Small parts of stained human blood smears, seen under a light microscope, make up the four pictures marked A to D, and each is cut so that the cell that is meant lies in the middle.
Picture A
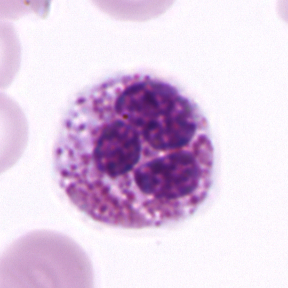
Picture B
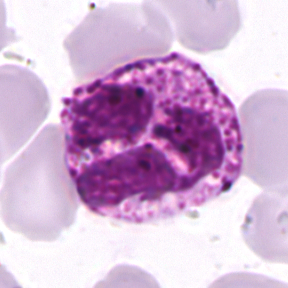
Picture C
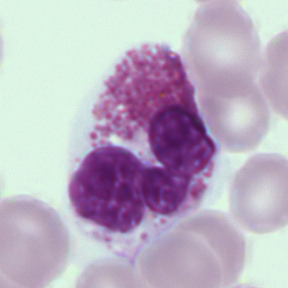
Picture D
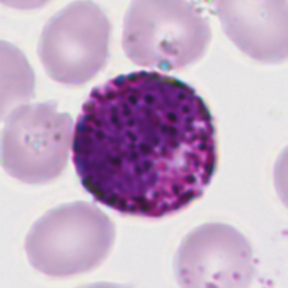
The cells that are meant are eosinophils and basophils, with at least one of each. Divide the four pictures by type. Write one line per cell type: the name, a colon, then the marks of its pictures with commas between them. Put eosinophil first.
eosinophil: A, C
basophil: B, D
